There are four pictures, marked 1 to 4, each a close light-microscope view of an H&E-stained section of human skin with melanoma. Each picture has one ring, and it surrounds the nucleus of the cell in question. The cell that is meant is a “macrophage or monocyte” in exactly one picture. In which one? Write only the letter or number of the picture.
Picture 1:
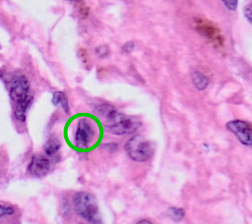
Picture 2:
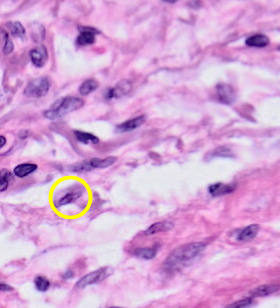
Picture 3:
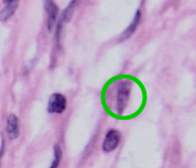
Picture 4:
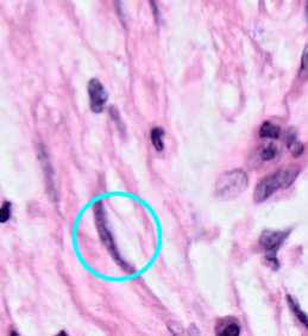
1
